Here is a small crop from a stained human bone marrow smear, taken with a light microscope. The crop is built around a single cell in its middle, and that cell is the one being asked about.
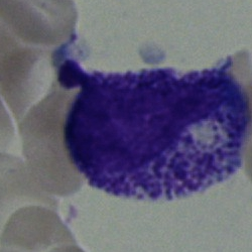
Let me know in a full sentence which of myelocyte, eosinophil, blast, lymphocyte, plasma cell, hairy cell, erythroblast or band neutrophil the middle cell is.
In the center of this field lies a myelocyte.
